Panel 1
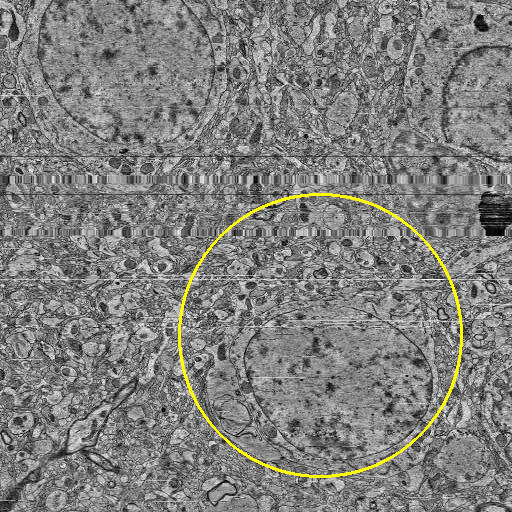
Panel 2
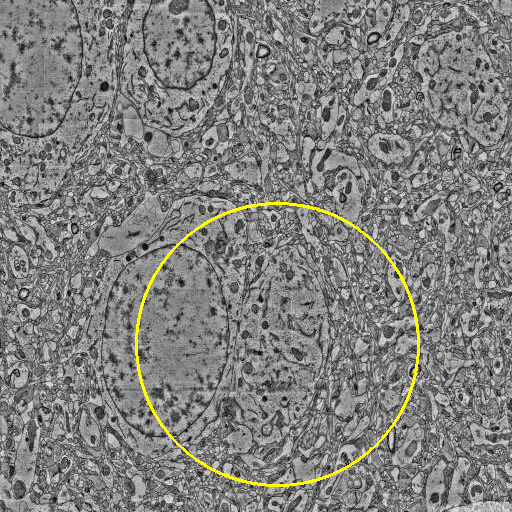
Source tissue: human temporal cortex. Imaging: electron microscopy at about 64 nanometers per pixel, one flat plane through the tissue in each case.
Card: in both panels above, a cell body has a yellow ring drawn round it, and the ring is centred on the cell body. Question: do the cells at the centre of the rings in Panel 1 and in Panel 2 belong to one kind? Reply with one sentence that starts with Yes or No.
Yes, the cells centred in the rings of Panel 1 and Panel 2 are one kind of cell.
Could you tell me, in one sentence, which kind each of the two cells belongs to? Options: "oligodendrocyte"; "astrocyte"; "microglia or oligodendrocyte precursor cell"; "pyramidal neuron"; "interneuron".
The ring centre holds a pyramidal neuron in each of the two pictures.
